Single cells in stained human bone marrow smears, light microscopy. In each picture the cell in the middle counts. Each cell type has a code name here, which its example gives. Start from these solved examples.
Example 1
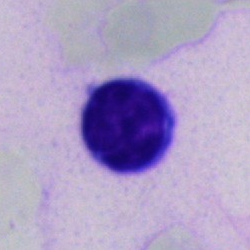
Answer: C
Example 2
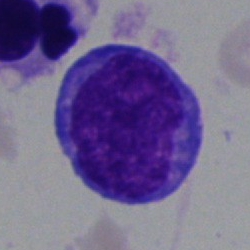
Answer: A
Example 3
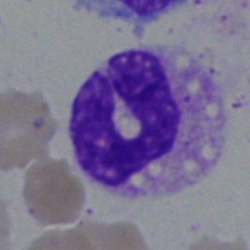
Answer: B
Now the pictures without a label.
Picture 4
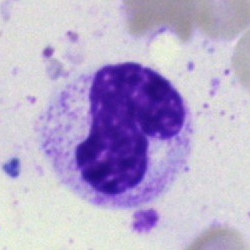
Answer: B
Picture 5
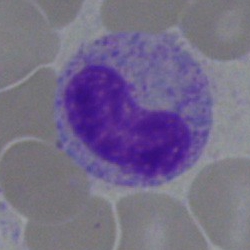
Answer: B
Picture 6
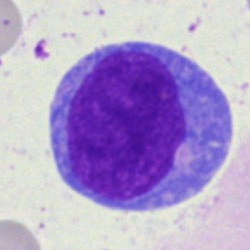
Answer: A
